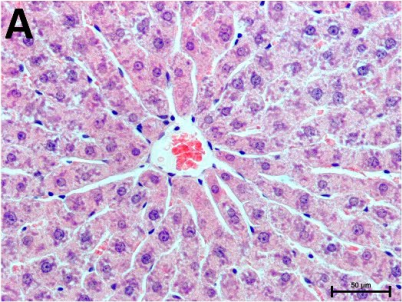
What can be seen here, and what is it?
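Liver lobule centred on a central vein, with plates of hepatocytes radiating outward from it and narrow pale sinusoids between the plates. The hepatocytes are polygonal with pink granular cytoplasm and round, centrally placed purple nuclei with visible nucleoli. Flattened, dark elongated nuclei line the sinusoids and the vein wall. The vein lumen holds a small clump of red blood cells.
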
